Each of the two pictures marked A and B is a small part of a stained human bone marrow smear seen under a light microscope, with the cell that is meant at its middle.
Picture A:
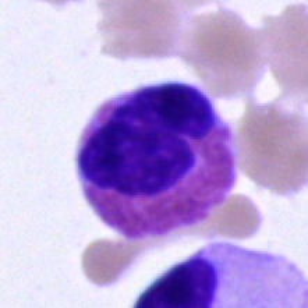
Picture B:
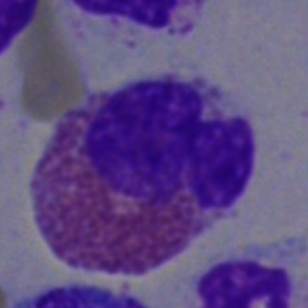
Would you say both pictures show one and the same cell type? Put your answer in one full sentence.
Yes, they are the same type: both are eosinophils.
